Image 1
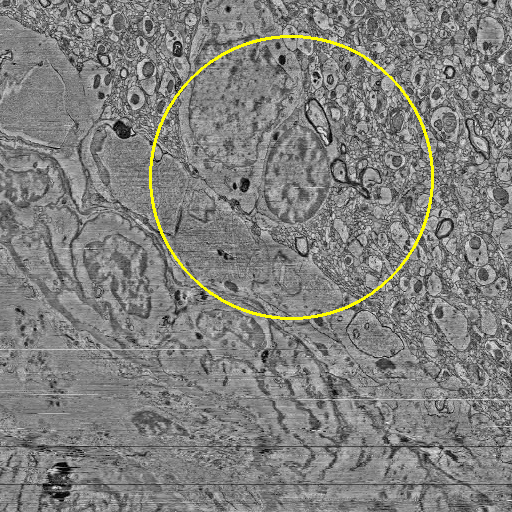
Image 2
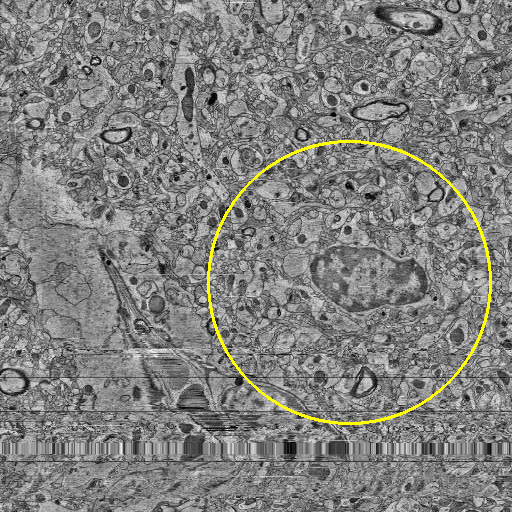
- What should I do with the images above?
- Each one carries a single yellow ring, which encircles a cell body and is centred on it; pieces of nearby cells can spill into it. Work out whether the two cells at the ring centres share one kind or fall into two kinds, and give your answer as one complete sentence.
The ring-centre cells of Image 1 and Image 2 fall into two kinds.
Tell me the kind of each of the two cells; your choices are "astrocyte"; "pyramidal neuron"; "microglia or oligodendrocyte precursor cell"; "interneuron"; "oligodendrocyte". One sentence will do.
The ringed cell is an oligodendrocyte in the first picture and a microglial cell or oligodendrocyte precursor cell in the second picture.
